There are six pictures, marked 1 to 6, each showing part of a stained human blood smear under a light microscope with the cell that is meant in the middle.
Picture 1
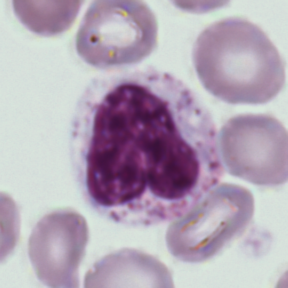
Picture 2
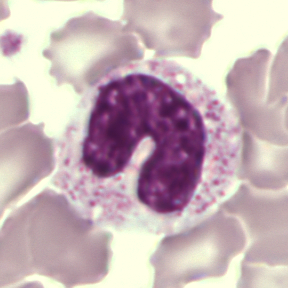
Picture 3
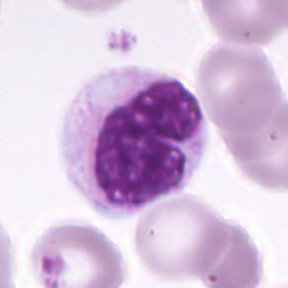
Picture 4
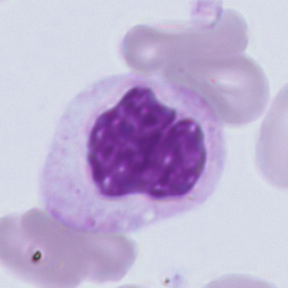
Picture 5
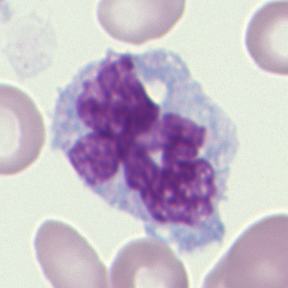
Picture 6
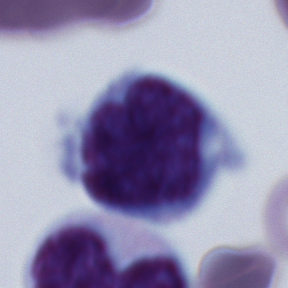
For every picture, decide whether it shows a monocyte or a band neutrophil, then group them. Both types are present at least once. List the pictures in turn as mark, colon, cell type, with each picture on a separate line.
1: band neutrophil
2: band neutrophil
3: band neutrophil
4: band neutrophil
5: monocyte
6: monocyte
